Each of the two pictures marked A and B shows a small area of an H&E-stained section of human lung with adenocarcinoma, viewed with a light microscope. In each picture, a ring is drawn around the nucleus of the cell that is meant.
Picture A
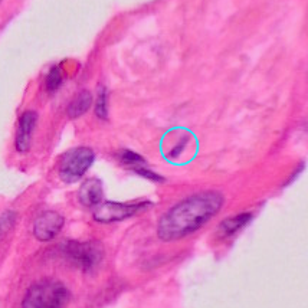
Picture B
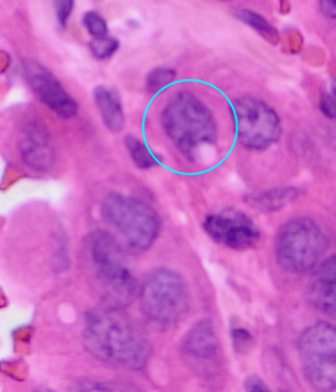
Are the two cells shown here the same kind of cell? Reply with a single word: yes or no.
no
